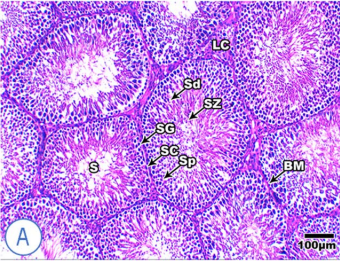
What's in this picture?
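Cross-sectioned seminiferous tubules of testis, closely packed, each lined by a thick stratified germ-cell epithelium resting on a thin basement membrane. Small dark-nucleated cells sit at the base, larger round nuclei lie in the middle layers, and smaller cells crowd toward the lumen. The lumens hold pale pink fibrillar material with tails of sperm. Narrow interstitium between tubules contains small clusters of cells.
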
